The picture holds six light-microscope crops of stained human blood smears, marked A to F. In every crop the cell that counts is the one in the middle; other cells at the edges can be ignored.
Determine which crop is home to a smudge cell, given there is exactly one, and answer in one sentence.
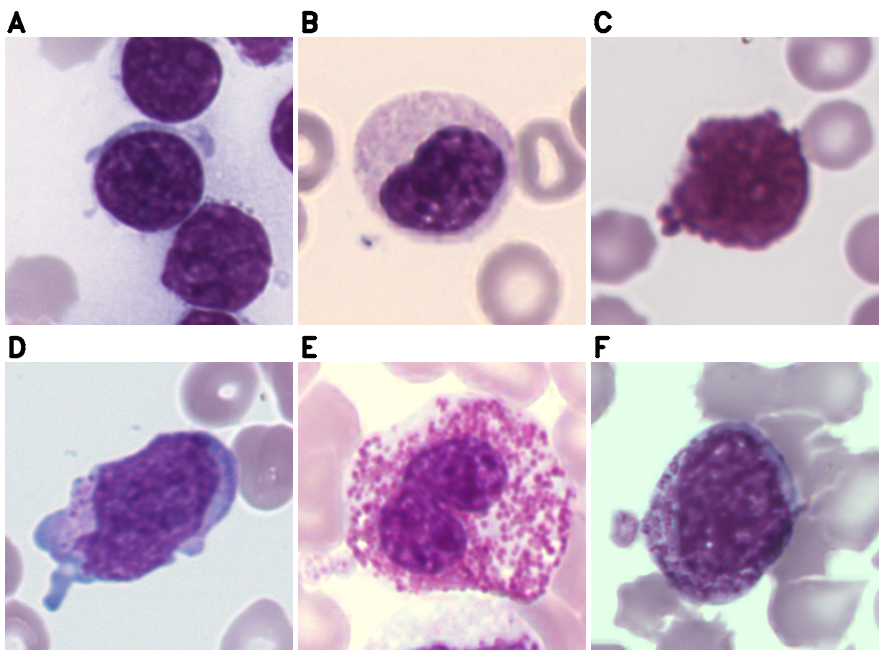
The one showing a smudge cell is crop C.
